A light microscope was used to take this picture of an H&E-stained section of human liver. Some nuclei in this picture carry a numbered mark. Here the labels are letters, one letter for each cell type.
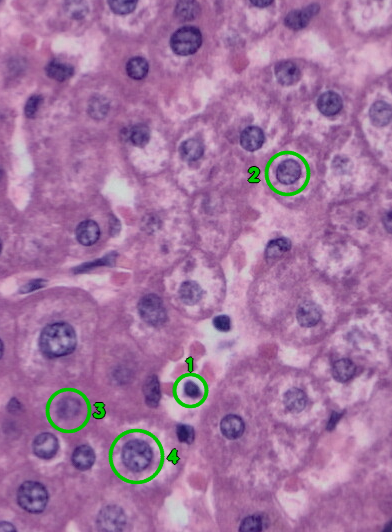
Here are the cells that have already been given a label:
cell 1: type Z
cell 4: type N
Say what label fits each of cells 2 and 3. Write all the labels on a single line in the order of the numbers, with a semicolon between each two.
type N; type N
